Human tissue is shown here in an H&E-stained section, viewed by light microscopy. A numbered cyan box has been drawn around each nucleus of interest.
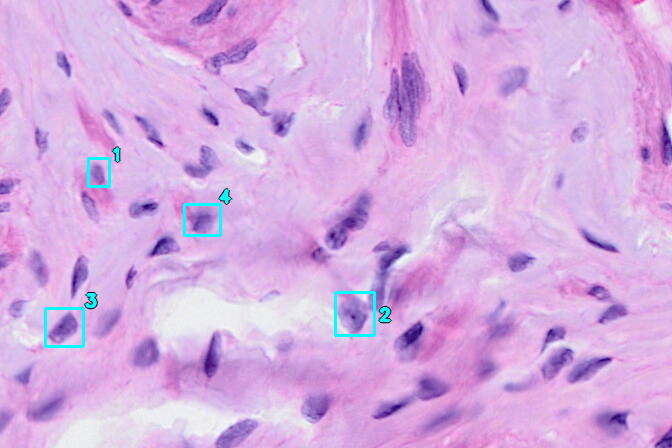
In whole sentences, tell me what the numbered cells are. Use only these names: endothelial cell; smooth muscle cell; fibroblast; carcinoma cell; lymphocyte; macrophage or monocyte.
Cell 1 is a smooth muscle cell, cell 2 is a fibroblast, cell 3 is a fibroblast and cell 4 is a fibroblast.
